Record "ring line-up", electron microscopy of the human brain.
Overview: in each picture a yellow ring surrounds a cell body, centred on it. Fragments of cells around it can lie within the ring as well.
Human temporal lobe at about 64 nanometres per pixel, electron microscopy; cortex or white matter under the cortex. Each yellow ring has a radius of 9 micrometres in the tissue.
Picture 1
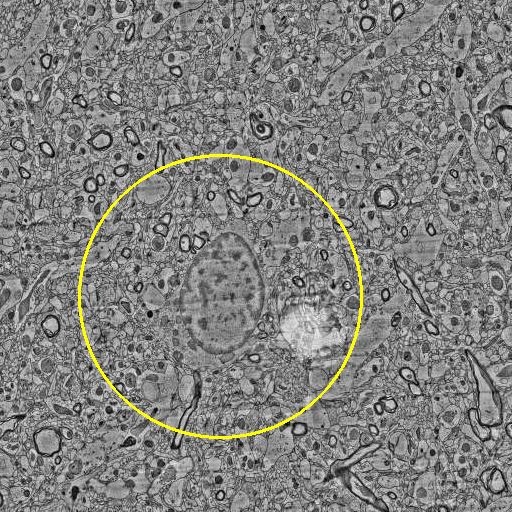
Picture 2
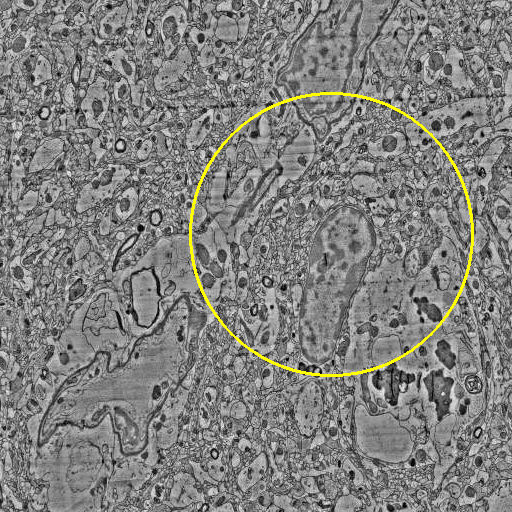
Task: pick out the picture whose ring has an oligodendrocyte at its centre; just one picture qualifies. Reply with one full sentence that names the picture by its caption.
Going by the cell at the ring's centre, the right choice is Picture 1.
